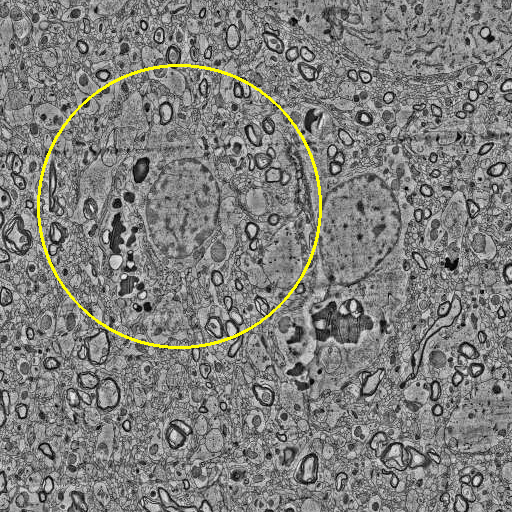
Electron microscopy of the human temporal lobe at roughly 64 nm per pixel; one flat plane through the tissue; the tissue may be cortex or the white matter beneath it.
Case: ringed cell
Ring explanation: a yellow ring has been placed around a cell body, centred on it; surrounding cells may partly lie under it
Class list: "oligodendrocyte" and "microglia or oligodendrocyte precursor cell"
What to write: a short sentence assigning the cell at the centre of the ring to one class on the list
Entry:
The cell at the ring's centre is an oligodendrocyte.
